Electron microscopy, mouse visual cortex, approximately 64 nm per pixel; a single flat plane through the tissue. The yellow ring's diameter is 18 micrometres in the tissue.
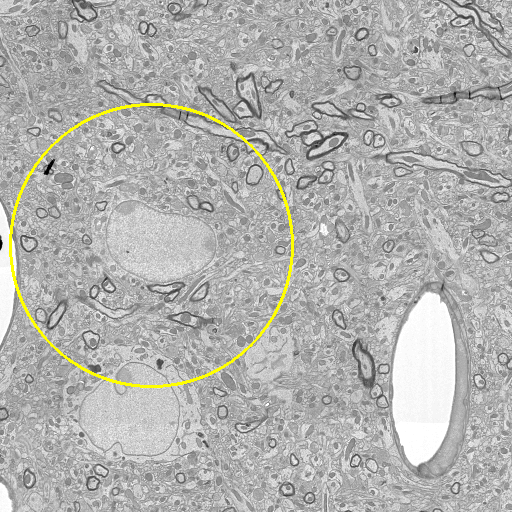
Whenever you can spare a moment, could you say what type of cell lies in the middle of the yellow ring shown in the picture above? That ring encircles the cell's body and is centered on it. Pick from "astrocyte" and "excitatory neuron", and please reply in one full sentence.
The cell whose body sits at the middle of the yellow ring is an astrocyte.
